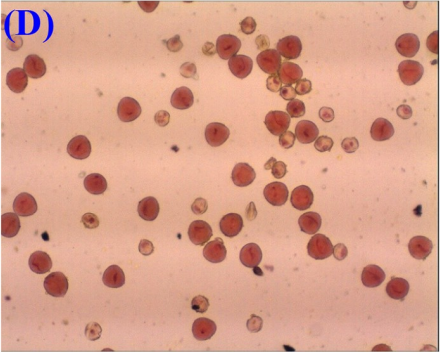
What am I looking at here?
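These are separate pollen grains scattered on a pale pink background. Most are round and plump, and they stain red to pinkish-red, often darker toward the middle, with a clear outline. Between them lie smaller grains that are pale, only faintly tinted and irregular or shrunken in outline, some with a small dark spot inside. A few tiny dark particles of debris lie among the grains. The grains lie singly or in small loose groups, and none has a tube growing from it.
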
